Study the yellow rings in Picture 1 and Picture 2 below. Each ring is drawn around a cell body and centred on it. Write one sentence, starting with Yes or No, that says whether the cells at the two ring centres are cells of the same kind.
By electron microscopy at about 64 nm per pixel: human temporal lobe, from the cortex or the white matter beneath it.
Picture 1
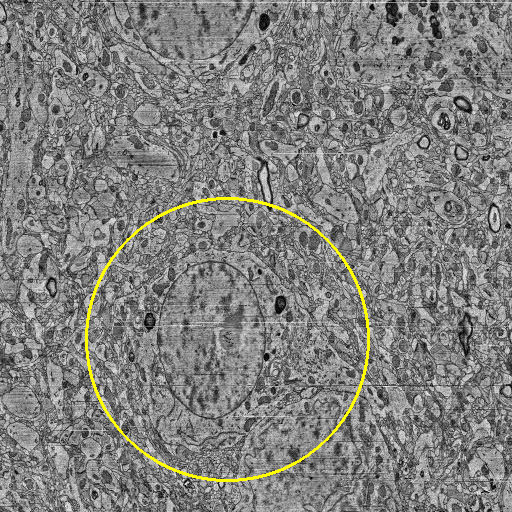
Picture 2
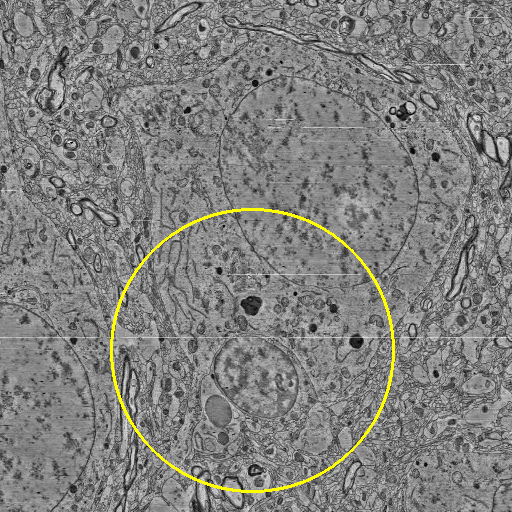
No, the cells at the ring centres are of two kinds.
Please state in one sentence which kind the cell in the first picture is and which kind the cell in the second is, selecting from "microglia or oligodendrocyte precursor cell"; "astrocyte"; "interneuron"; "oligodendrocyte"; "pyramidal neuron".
The first ringed cell is a pyramidal neuron, the second ringed cell an oligodendrocyte.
